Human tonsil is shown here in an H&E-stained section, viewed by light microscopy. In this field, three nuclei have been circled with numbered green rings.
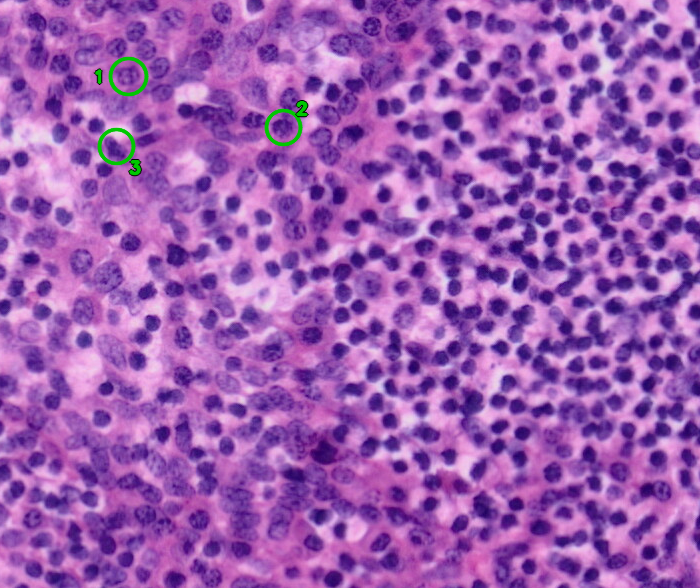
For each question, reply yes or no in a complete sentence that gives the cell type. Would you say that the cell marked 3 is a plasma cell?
No, cell number 3 is identified as a squamous epithelial cell, not as a plasma cell.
